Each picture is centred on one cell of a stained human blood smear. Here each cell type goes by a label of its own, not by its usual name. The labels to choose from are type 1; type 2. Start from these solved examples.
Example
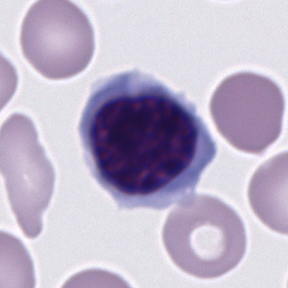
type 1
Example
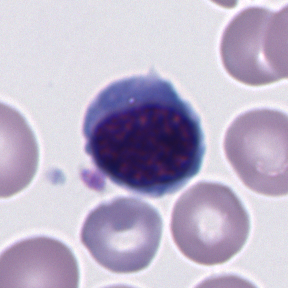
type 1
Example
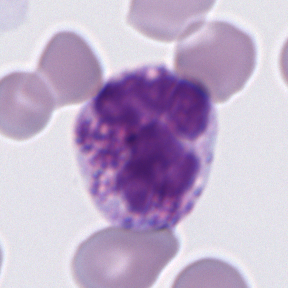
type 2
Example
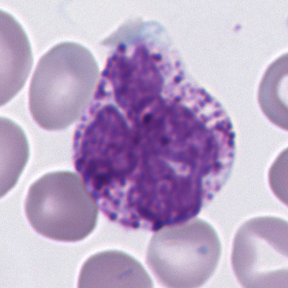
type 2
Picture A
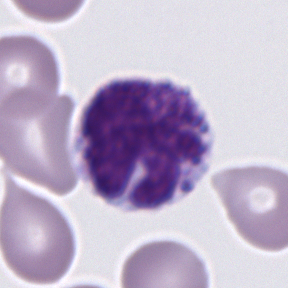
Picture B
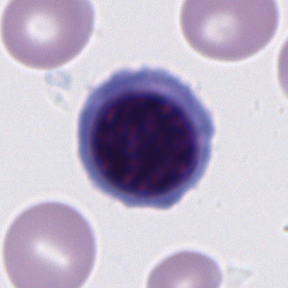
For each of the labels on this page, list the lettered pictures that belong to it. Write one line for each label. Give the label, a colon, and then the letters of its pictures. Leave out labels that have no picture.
type 1: B
type 2: A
